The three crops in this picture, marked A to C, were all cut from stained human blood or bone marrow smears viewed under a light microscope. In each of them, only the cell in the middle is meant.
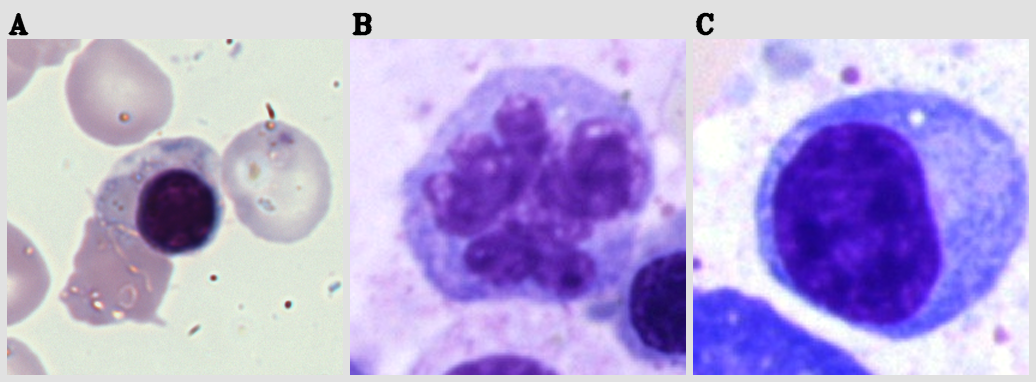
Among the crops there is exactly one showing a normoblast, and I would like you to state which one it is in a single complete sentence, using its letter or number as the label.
Crop A is where a normoblast is shown.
